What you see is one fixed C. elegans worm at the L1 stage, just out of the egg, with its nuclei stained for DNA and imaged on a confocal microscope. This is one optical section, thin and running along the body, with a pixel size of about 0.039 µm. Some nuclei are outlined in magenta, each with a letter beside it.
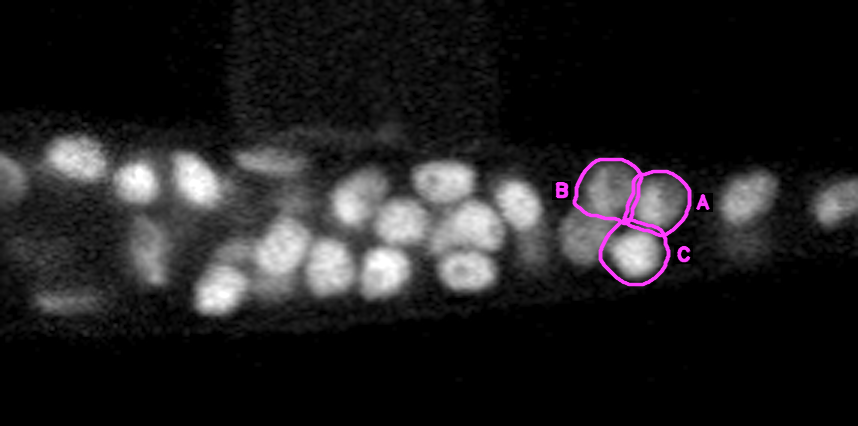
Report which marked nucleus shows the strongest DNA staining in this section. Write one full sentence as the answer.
Nucleus C shows the strongest staining.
